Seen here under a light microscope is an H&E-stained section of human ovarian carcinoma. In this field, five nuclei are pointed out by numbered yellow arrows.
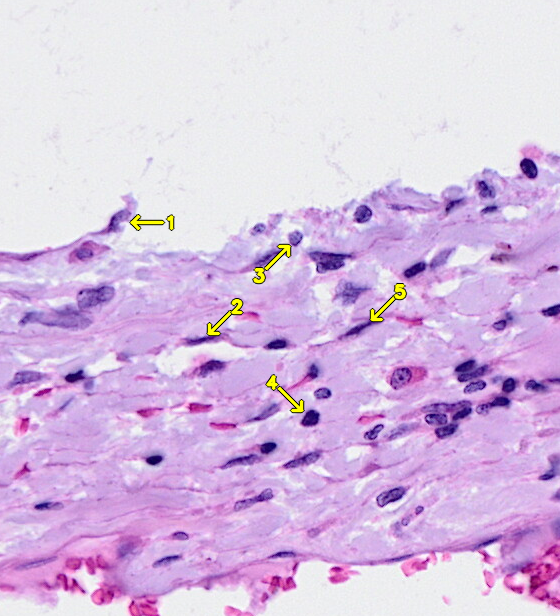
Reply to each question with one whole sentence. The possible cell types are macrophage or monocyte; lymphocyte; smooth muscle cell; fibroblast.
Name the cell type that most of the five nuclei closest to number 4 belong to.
The majority of the five nuclei closest to number 4 belong to lymphocytes.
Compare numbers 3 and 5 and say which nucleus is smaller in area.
Nucleus 3 is the smaller one; nucleus 5 covers about 2 times its area.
